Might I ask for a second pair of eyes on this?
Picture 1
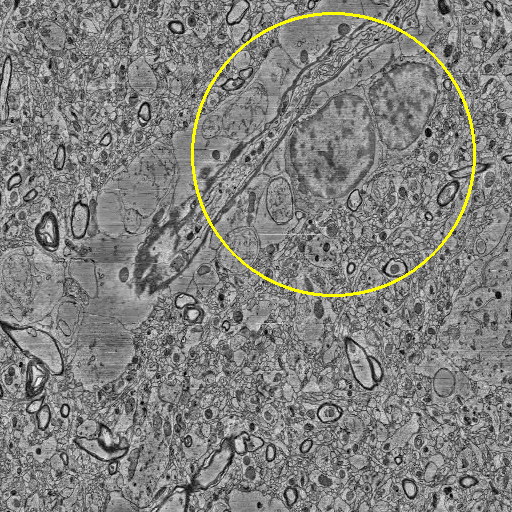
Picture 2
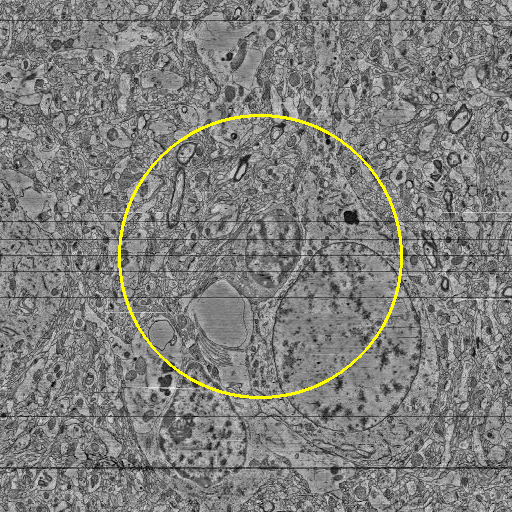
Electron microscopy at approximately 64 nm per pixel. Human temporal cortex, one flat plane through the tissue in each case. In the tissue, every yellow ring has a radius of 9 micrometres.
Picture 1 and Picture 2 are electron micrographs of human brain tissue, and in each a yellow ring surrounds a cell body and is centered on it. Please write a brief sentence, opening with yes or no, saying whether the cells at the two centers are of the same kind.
Yes, the cells are of the same kind.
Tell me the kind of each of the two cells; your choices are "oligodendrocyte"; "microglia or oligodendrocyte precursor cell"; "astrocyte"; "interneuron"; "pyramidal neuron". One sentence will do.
Both pictures show an oligodendrocyte at the centre of the ring.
